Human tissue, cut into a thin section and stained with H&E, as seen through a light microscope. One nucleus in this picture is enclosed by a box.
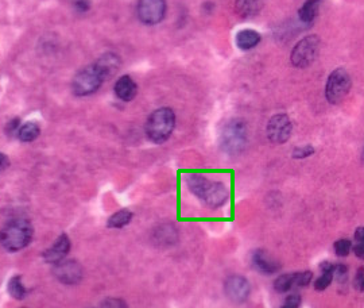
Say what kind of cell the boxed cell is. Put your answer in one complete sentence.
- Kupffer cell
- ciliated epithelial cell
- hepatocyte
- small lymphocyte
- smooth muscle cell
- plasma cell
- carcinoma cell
To be brief about it, the boxed cell is a Kupffer cell.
